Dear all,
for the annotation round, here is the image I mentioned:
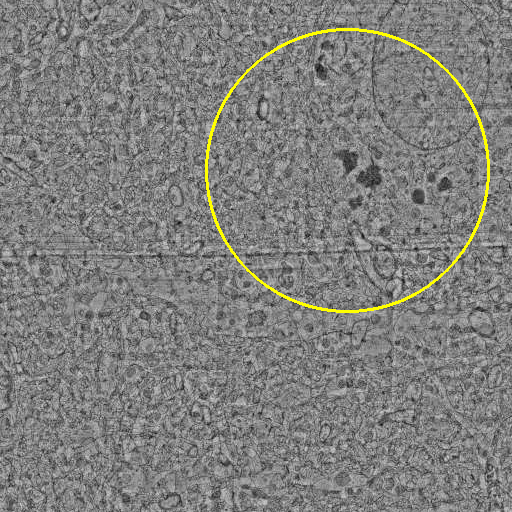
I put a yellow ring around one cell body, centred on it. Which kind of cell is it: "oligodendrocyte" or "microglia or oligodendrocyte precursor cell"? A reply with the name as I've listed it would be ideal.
oligodendrocyte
